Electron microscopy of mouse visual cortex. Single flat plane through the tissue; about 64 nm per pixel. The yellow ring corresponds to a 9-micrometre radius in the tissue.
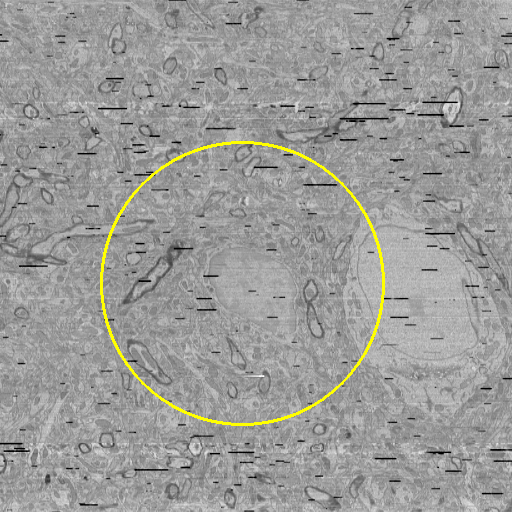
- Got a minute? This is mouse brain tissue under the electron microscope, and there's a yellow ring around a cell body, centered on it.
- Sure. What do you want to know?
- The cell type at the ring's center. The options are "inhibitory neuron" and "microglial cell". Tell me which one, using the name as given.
microglial cell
